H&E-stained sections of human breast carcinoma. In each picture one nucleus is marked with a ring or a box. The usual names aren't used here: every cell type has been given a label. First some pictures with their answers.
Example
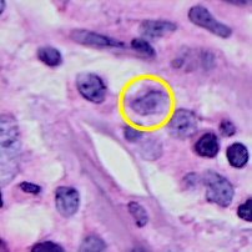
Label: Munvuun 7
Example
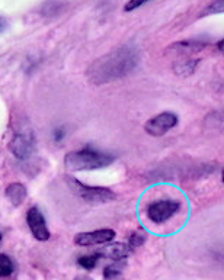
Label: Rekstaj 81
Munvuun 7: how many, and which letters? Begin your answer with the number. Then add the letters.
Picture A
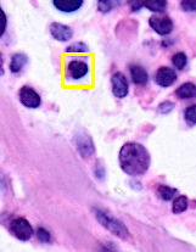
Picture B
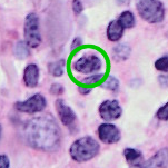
0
